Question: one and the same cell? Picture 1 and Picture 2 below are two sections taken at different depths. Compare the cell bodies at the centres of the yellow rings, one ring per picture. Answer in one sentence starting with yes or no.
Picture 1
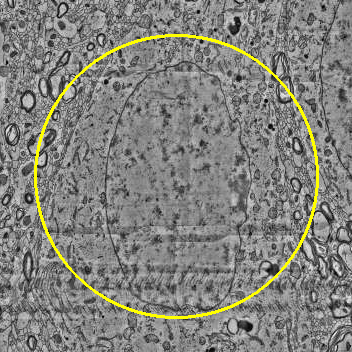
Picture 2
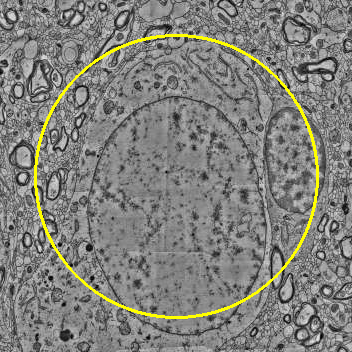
No, within the two rings lie two different cells.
